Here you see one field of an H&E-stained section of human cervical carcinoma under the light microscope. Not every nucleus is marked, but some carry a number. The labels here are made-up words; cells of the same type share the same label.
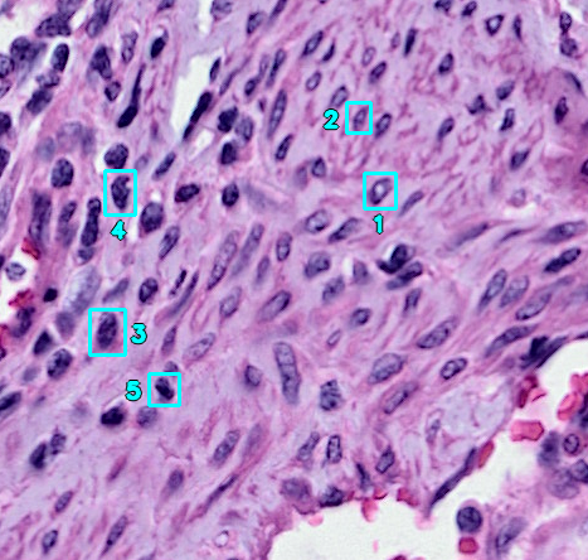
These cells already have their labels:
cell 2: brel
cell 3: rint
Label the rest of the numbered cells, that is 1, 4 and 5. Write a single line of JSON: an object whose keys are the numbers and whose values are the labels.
{"1": "brel", "4": "rint", "5": "rint"}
